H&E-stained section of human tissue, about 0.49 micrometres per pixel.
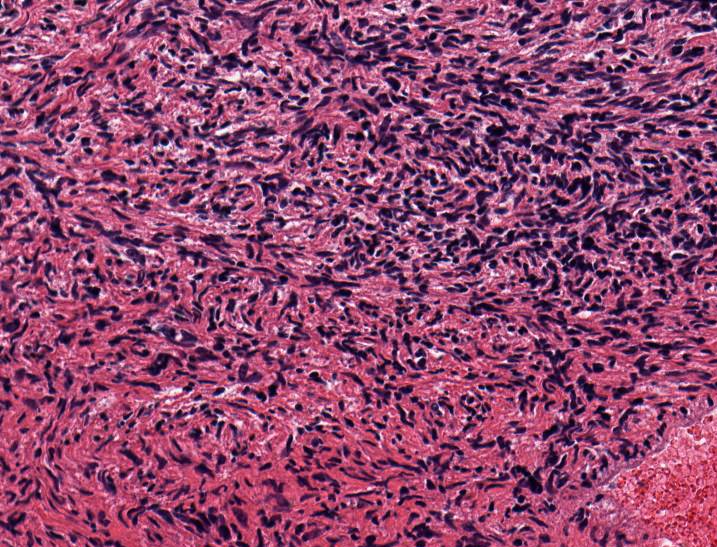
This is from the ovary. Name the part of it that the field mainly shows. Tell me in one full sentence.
This image of human tissue depicts the part termed ovarian cortex.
